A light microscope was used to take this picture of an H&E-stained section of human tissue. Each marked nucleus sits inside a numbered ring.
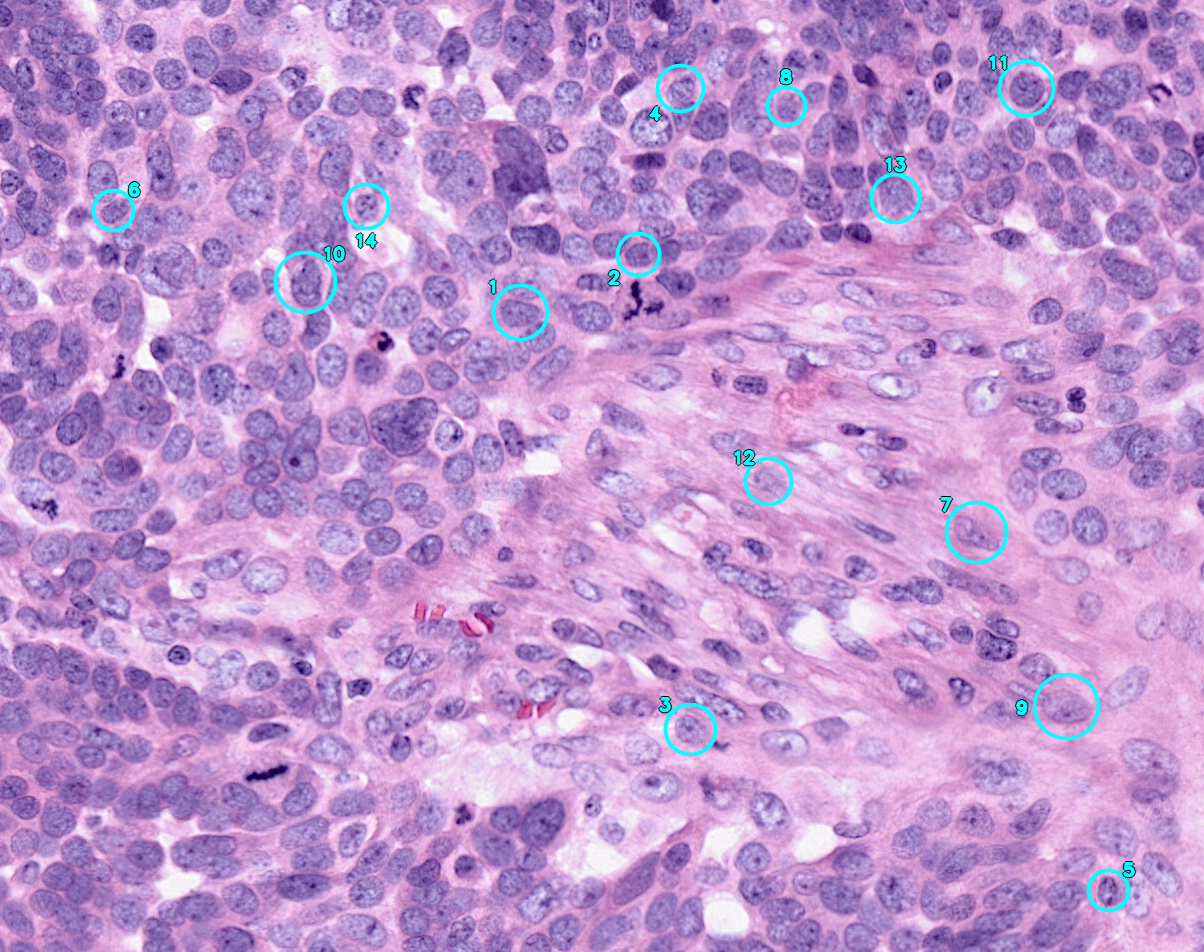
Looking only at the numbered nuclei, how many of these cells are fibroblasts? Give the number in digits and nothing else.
4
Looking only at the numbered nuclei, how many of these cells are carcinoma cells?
8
